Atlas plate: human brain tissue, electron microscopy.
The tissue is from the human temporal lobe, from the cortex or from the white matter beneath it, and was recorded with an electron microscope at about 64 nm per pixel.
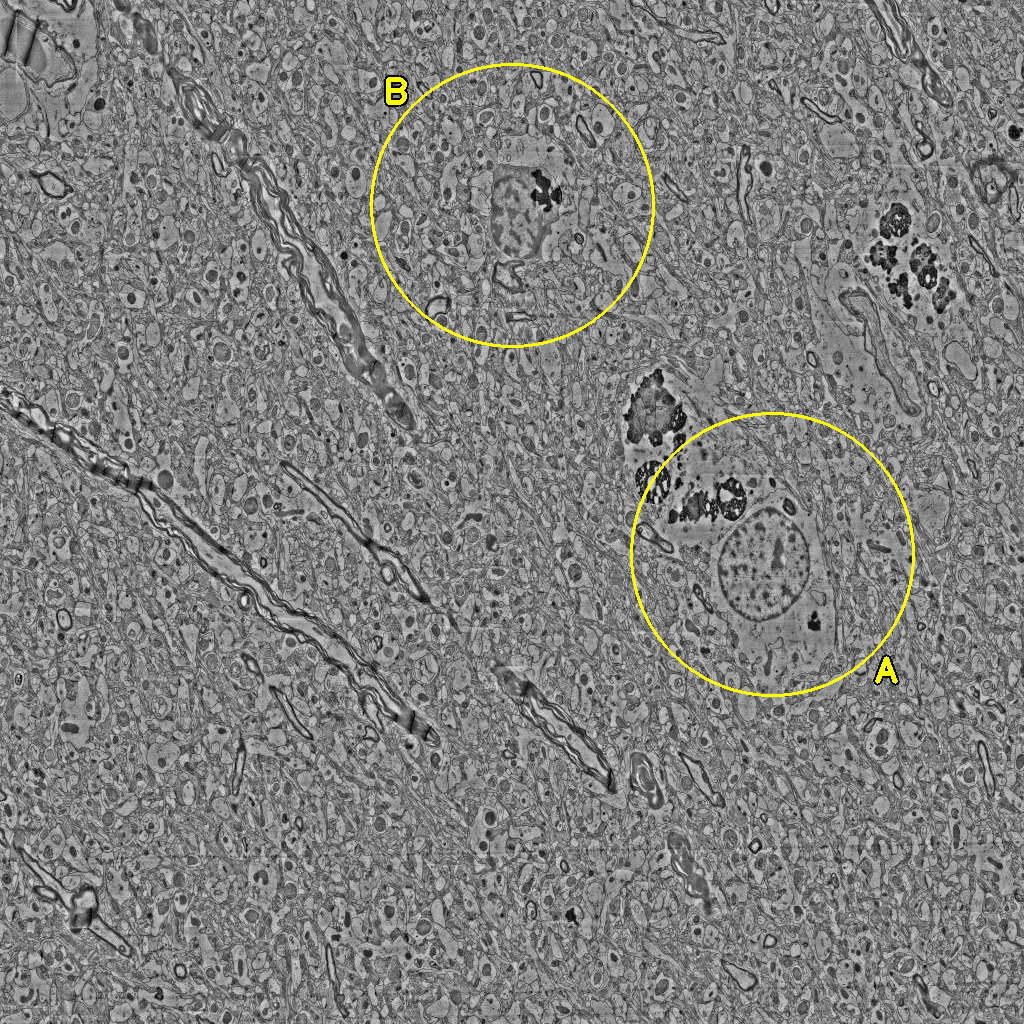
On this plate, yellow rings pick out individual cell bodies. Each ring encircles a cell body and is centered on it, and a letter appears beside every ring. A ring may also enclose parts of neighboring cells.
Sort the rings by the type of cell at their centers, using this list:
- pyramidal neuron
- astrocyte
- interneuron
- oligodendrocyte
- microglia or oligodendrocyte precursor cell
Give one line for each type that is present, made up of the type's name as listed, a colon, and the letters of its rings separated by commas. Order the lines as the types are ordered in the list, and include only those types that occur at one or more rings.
astrocyte: A
oligodendrocyte: B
